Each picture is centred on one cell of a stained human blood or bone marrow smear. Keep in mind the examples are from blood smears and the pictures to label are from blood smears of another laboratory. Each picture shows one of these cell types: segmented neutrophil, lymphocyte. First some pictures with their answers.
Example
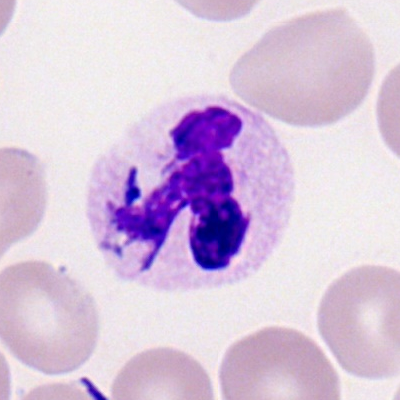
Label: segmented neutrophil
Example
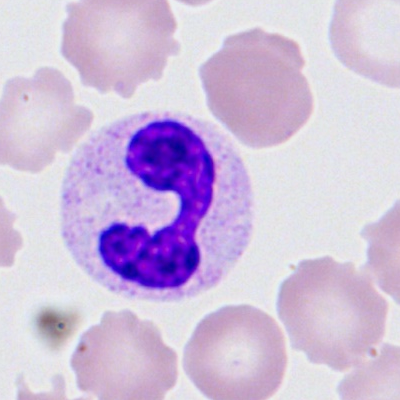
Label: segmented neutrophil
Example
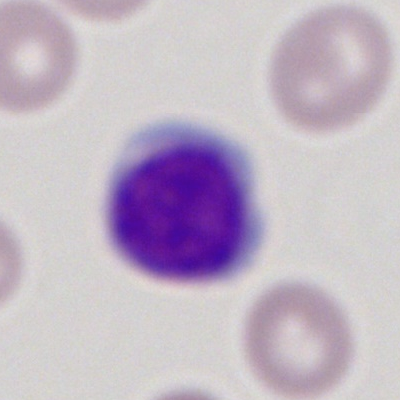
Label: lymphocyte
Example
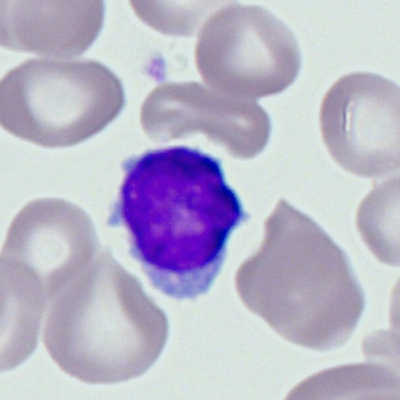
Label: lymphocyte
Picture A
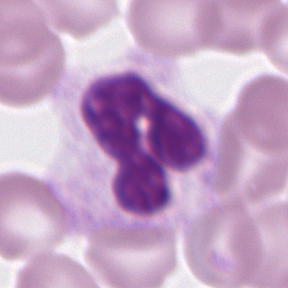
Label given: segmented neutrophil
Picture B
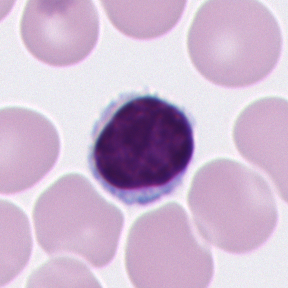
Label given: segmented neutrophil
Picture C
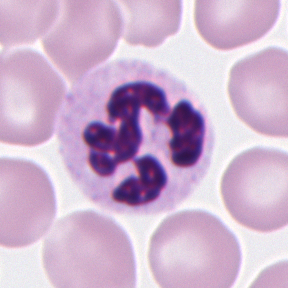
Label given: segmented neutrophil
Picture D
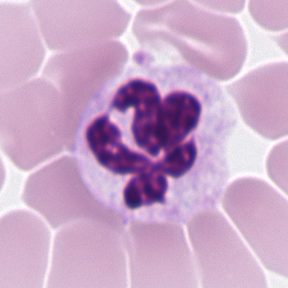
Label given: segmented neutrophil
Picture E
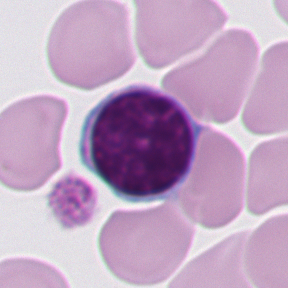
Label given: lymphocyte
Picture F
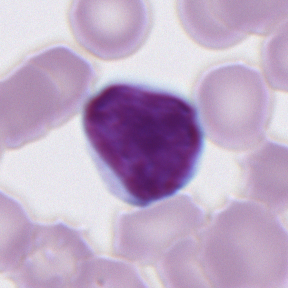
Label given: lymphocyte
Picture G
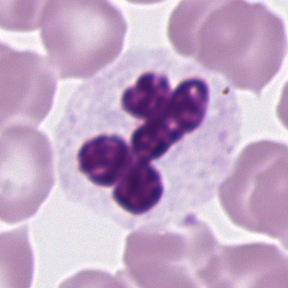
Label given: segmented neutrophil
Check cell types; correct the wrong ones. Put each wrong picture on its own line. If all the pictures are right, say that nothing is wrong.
B: lymphocyte, not segmented neutrophil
